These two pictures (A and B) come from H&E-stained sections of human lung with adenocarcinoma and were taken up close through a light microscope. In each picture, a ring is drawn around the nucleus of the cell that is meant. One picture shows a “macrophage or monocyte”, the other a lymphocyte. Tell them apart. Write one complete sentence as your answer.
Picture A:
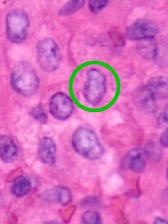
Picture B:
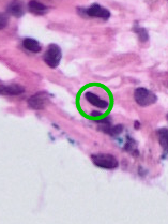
In picture A the cell is a “macrophage or monocyte”; in picture B, a lymphocyte.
